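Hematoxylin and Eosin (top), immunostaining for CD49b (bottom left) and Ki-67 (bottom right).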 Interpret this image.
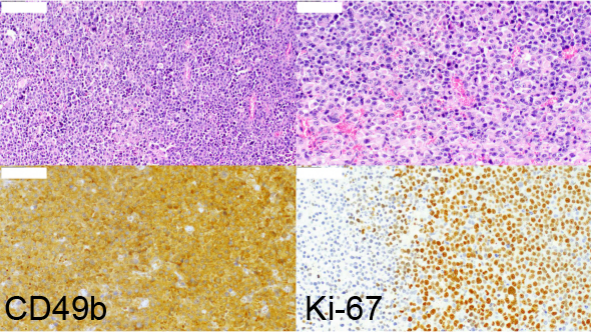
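A cellular tumor made of sheets of rounded cells appears in the pink-and-purple sections, and at high power the cells have purple nuclei surrounded by a rim of pink cytoplasm, with thin pink strands running between groups of cells. In the first brown-stained section the tumor cells are diffusely brown throughout. In the second, most nuclei on one side are brown, while an area on the other side has only pale blue nuclei and lacks brown staining.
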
